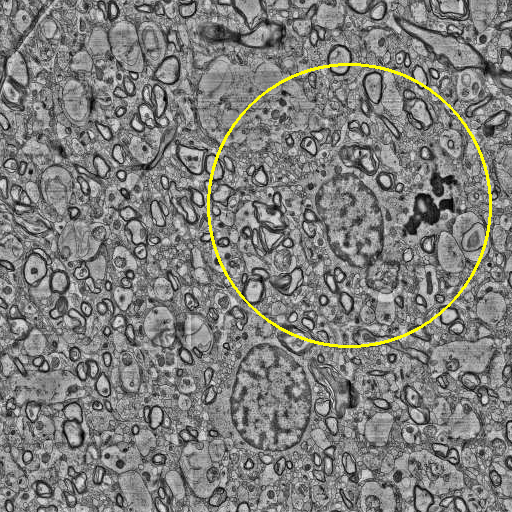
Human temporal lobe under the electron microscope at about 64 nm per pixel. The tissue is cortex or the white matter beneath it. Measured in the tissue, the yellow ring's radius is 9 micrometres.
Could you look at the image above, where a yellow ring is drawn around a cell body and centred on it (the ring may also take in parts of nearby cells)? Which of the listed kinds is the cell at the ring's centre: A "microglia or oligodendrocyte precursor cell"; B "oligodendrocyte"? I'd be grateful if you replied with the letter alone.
B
